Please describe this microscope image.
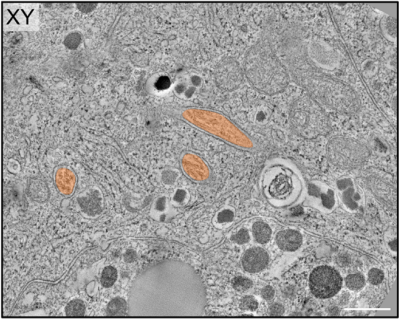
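The surrounding cytoplasm is densely granular, with scattered round dark granules, some angular dense bodies, and membranes running across the field. A multilayered membranous whorl lies to the right of the longitudinal cilium, and a large pale smooth round body sits near the bottom. The fine texture gives the whole field a grainy, high-resolution look.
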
